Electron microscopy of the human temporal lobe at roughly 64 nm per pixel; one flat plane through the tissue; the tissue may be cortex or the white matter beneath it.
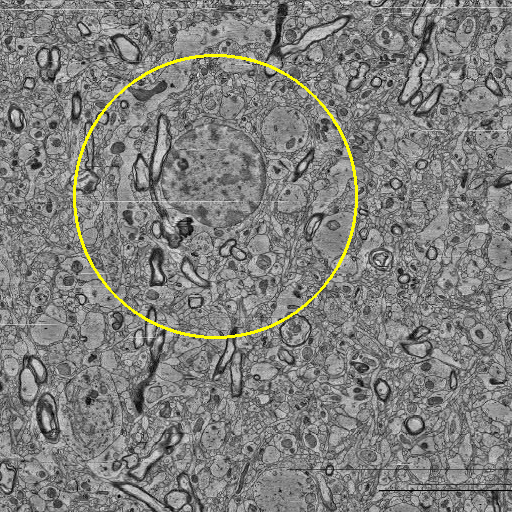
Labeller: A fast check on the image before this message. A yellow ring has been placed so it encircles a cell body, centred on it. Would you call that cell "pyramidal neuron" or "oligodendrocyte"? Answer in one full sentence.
In this image, an oligodendrocyte is the cell on which the yellow ring is centred.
